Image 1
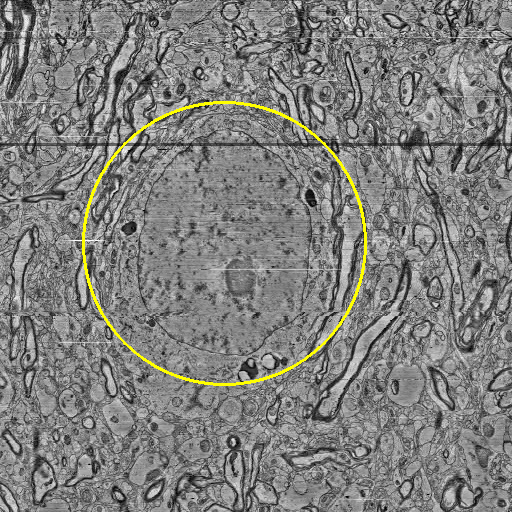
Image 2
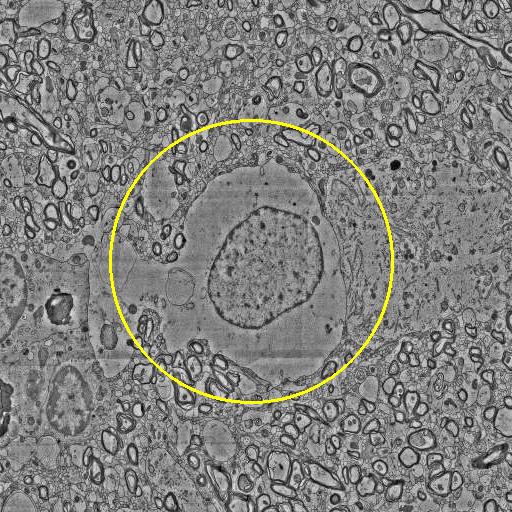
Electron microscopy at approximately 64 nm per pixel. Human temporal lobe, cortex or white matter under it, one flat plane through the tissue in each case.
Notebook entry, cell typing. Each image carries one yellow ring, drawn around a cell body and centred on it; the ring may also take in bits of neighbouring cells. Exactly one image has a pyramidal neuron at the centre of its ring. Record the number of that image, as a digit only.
1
